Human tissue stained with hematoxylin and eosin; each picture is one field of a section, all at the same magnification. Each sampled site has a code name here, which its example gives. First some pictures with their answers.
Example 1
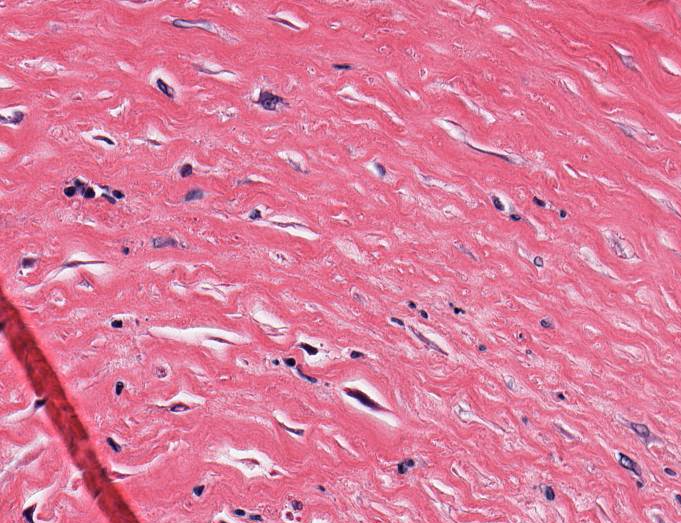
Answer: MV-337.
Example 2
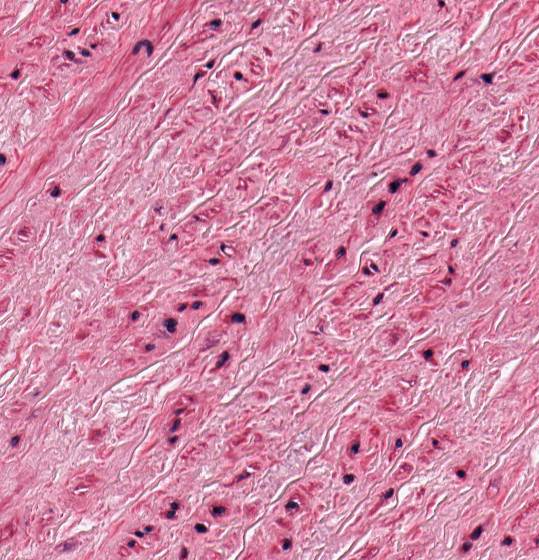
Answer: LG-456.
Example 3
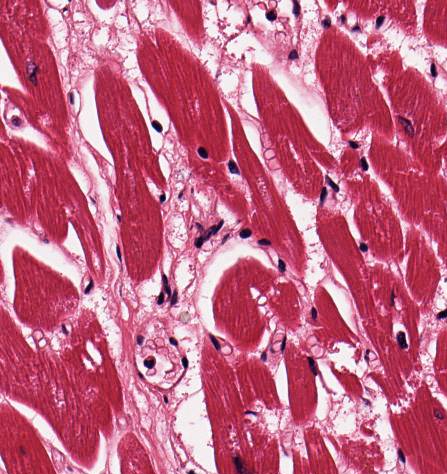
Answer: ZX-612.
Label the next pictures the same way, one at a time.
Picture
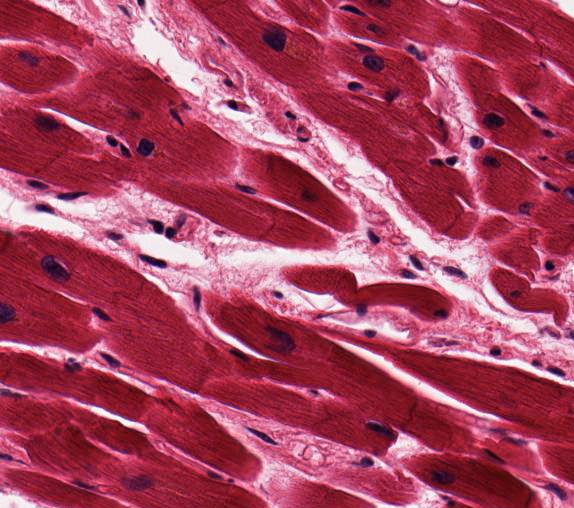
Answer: ZX-612.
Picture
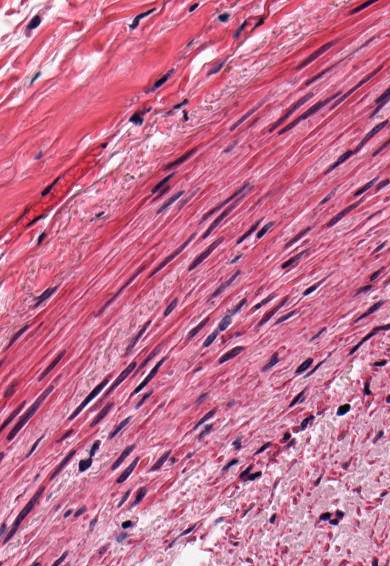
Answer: MV-337.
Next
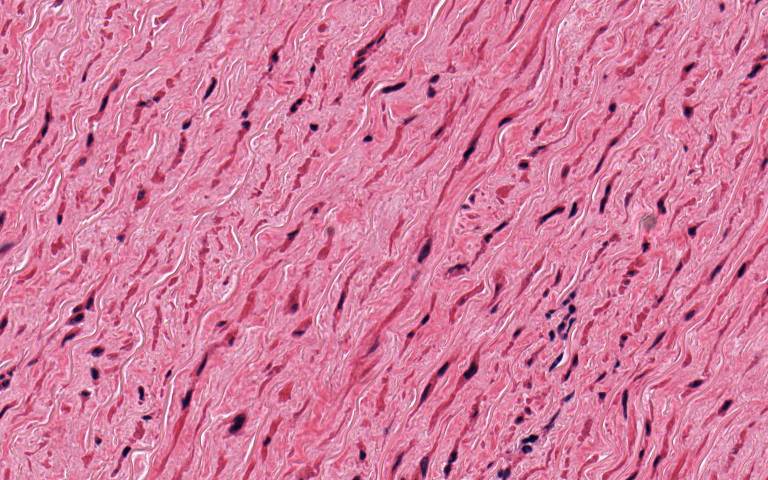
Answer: LG-456.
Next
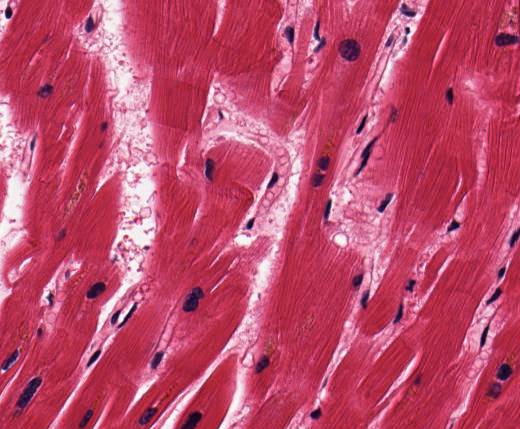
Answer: ZX-612.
